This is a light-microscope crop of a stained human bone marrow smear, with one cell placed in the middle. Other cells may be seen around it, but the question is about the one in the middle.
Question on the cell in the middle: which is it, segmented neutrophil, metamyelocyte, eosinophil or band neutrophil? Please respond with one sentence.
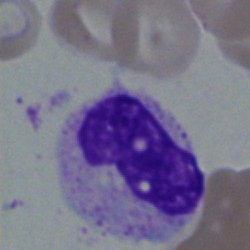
In the crop, the cell of interest at the centre is a metamyelocyte.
